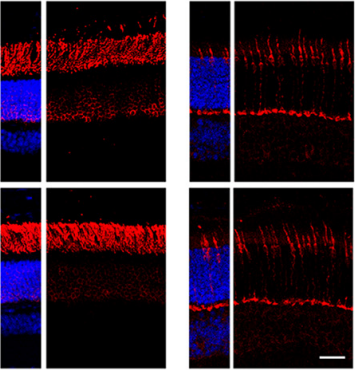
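These are sections of the outer retina showing photoreceptors, with the outer nuclear layer and inner nuclear layer visible as blue nuclear bands in the narrow strips. In the right images, sparse, separate red cells run vertically through the outer retina, and a continuous bright red line lies at the inner edge of the outer nuclear layer. The upper and lower rows look alike in layering and staining pattern.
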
